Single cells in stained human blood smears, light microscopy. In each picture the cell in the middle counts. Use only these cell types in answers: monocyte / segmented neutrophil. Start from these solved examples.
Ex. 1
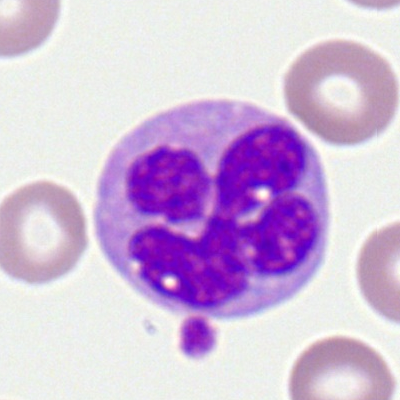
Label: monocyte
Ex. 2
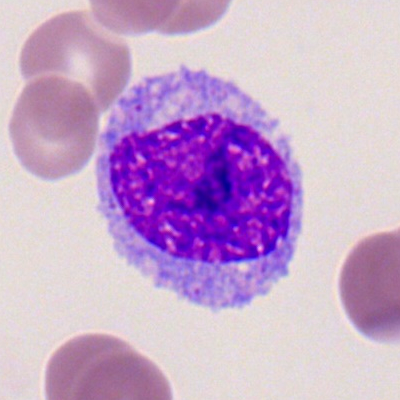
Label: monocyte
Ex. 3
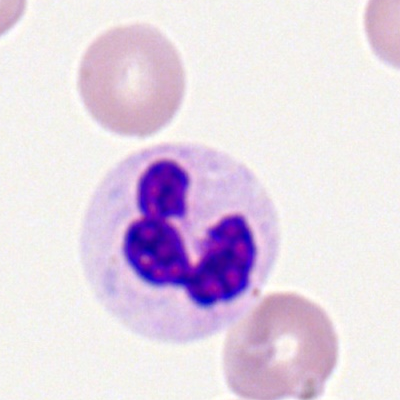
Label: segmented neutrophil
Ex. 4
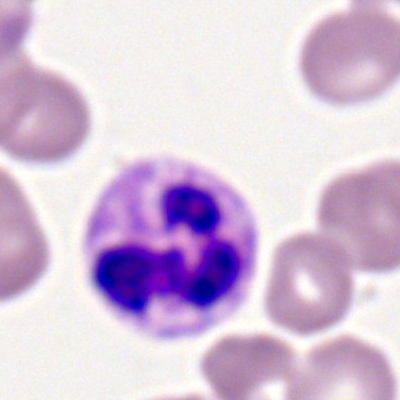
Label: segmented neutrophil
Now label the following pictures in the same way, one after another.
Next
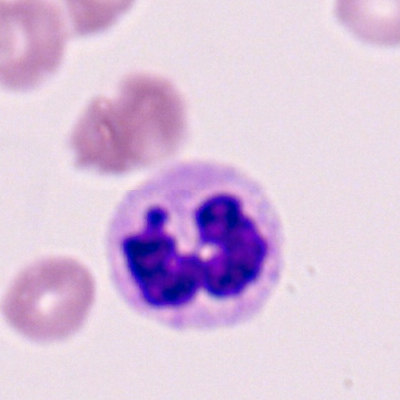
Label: segmented neutrophil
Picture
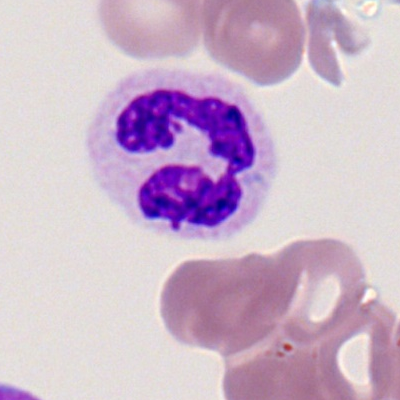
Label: segmented neutrophil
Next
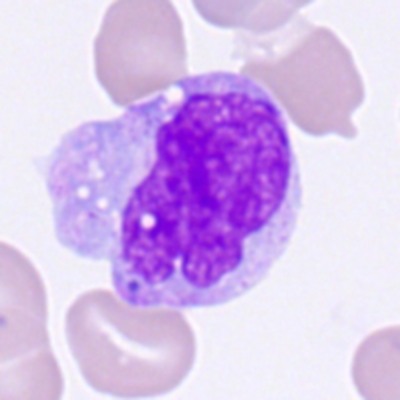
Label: monocyte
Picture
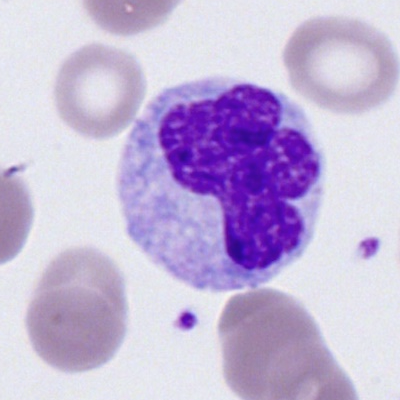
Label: monocyte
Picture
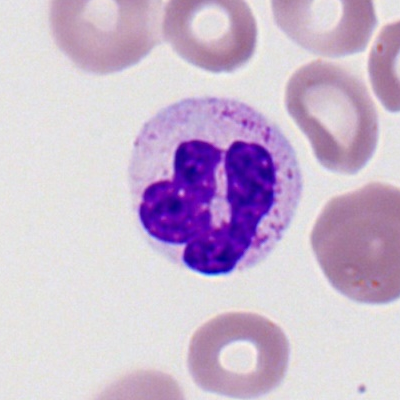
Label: segmented neutrophil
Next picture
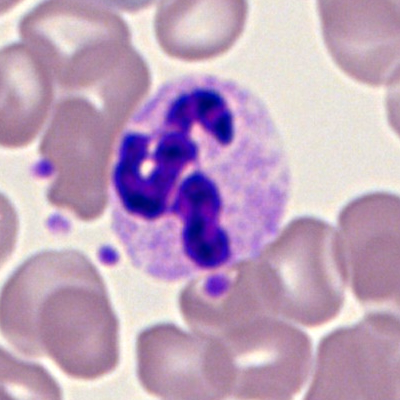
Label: segmented neutrophil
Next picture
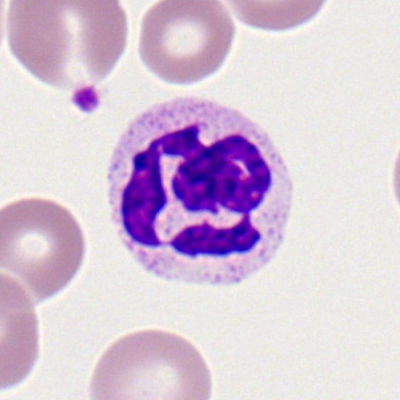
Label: segmented neutrophil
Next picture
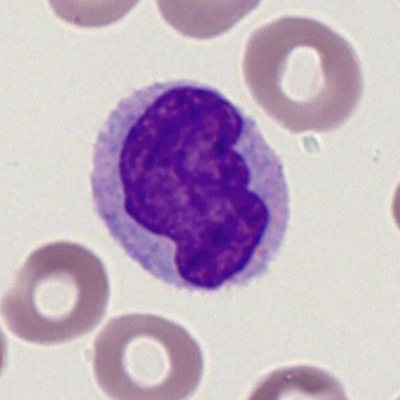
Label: monocyte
